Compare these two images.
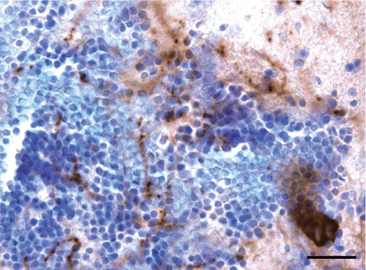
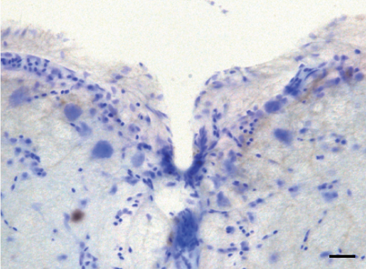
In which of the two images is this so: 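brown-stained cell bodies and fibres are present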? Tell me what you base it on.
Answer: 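Second image: blue-stained cells with almost no brown stain. First image: a dark brown cell body and many brown fibres among blue nuclei.
Answer: the first image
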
